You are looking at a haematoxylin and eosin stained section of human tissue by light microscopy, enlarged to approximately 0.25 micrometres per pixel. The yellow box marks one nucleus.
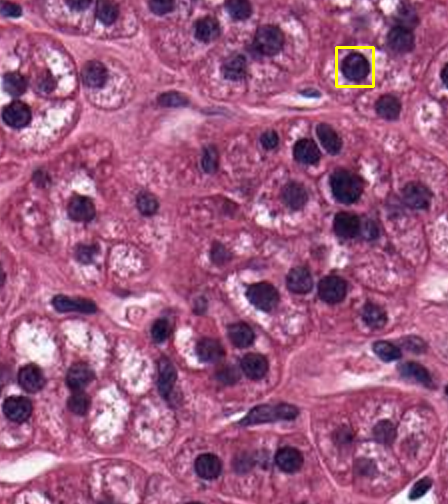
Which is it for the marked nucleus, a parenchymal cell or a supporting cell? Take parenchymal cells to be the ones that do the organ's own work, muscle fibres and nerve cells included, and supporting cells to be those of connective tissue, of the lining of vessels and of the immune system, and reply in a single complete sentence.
On this slide the marked nucleus belongs to a parenchymal cell, namely an adrenal cortical cell.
